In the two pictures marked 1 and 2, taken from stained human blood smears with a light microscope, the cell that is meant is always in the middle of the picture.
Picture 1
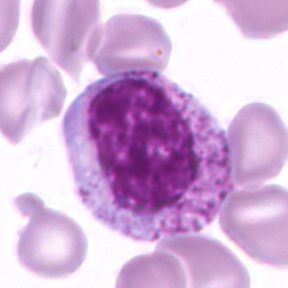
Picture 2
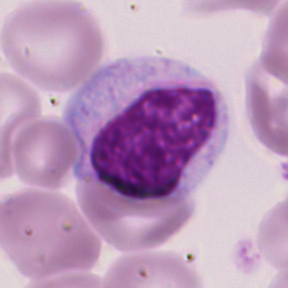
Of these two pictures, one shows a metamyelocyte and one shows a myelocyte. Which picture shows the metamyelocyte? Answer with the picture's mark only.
2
